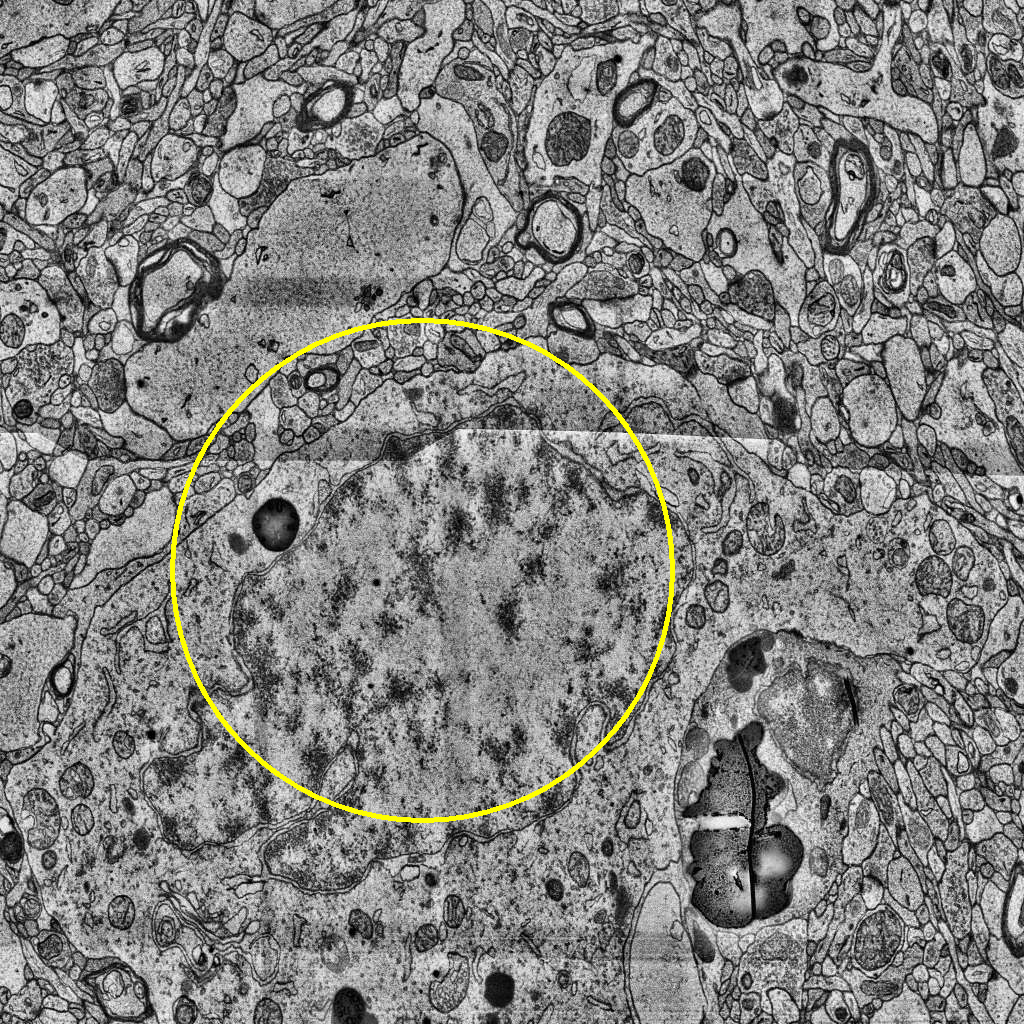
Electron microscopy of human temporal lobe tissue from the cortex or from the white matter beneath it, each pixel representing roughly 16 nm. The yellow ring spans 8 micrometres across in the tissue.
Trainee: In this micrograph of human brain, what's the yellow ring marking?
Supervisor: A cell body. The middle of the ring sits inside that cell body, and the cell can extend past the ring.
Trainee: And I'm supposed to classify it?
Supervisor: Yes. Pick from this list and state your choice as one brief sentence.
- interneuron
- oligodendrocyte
The cell at the ring's center is an interneuron.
